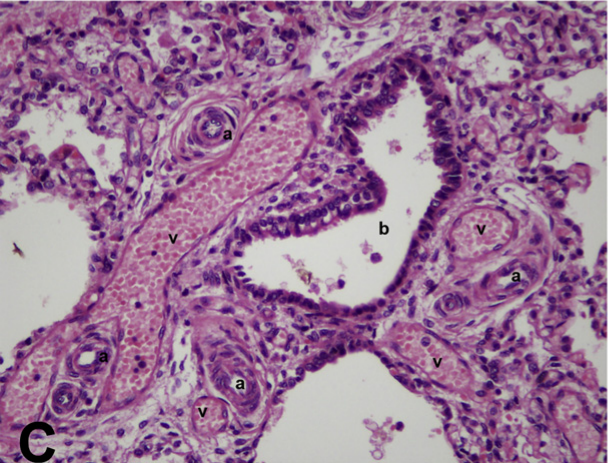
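Lung tissue with a small bronchiole lined by columnar epithelium, next to several small pulmonary arteries with thick concentric muscular walls and narrow lumens. Wide, thin-walled veins packed with red blood cells run alongside the arteries in shared connective tissue. The surrounding airspaces are simple and poorly subdivided.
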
